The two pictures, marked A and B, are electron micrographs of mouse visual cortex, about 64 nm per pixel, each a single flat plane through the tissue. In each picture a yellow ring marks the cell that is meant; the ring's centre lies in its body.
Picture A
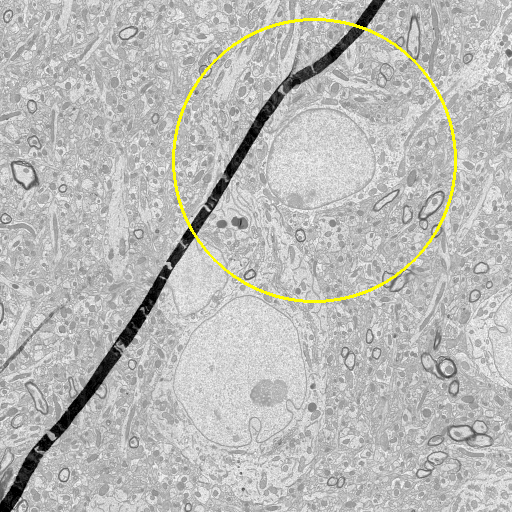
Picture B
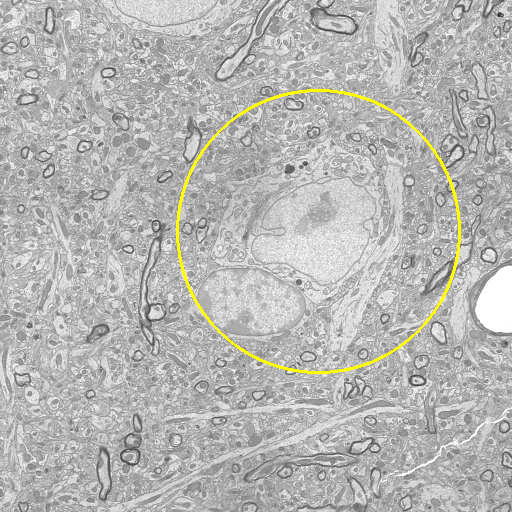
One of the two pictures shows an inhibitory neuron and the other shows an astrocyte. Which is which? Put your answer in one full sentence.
In picture A the cell is an astrocyte; in picture B, an inhibitory neuron.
